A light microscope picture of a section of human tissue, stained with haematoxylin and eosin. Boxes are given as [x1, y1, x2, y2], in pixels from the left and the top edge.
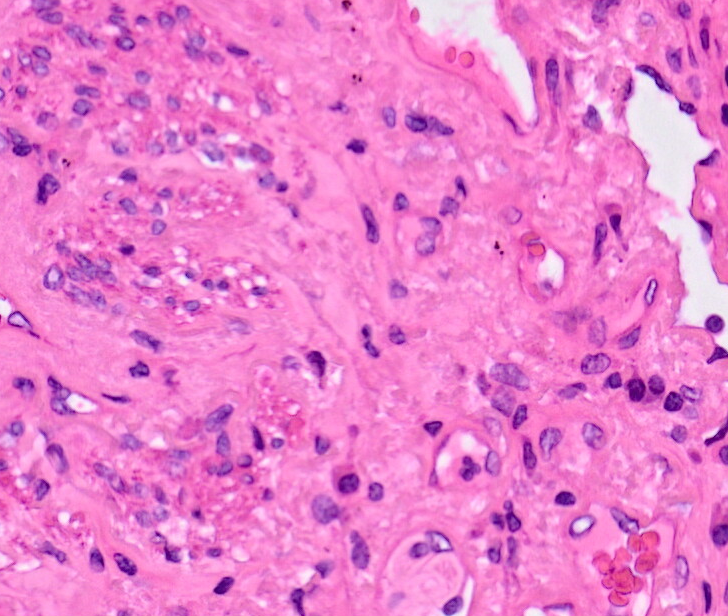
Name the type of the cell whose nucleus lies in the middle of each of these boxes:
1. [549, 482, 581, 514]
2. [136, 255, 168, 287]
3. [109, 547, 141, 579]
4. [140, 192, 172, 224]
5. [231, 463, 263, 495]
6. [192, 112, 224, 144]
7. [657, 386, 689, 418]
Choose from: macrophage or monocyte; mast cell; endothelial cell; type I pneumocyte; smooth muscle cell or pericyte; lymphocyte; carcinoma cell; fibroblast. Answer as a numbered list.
1. lymphocyte
2. smooth muscle cell or pericyte
3. mast cell
4. smooth muscle cell or pericyte
5. smooth muscle cell or pericyte
6. smooth muscle cell or pericyte
7. lymphocyte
